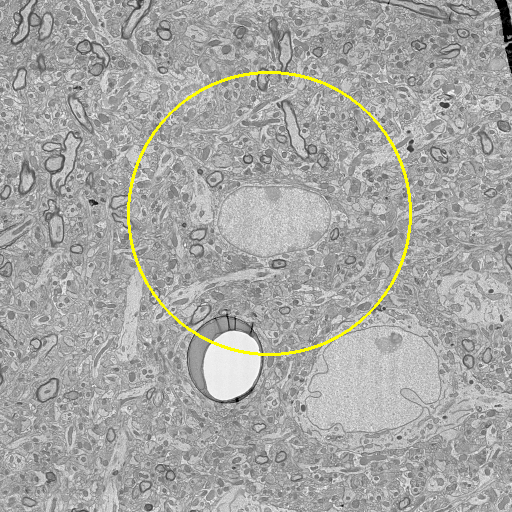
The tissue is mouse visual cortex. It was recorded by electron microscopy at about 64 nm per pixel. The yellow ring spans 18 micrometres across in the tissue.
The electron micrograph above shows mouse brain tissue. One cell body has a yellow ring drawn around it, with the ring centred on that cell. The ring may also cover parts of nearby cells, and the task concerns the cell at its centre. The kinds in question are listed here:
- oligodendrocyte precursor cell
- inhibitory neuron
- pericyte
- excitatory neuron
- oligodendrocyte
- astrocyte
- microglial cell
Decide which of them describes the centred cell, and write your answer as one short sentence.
The centred cell is an astrocyte.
